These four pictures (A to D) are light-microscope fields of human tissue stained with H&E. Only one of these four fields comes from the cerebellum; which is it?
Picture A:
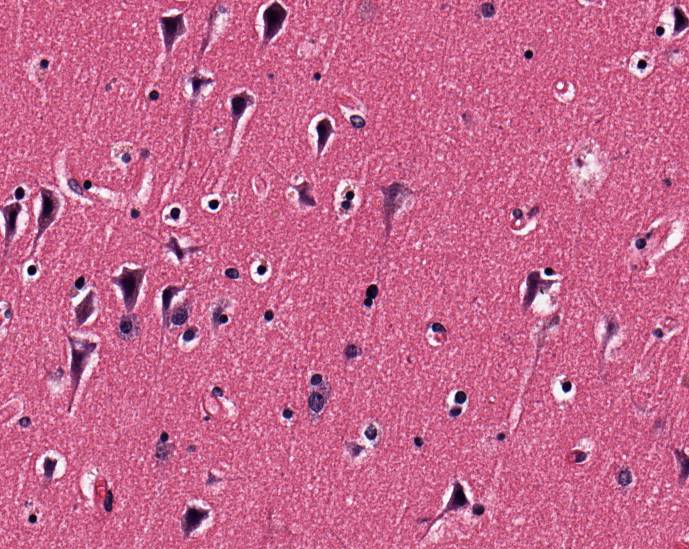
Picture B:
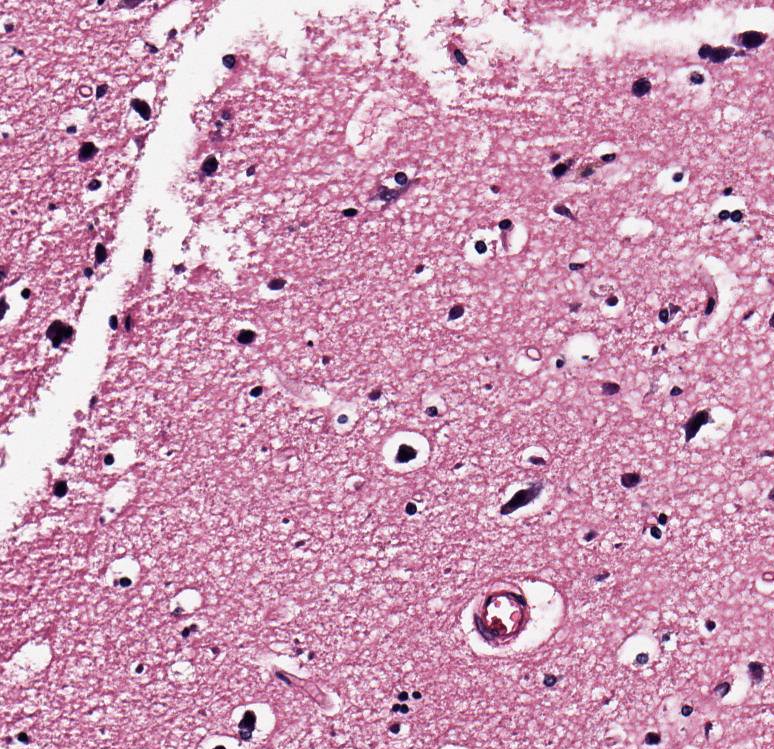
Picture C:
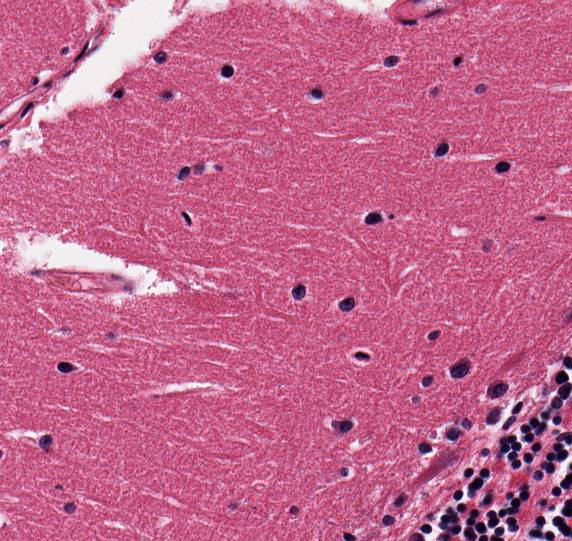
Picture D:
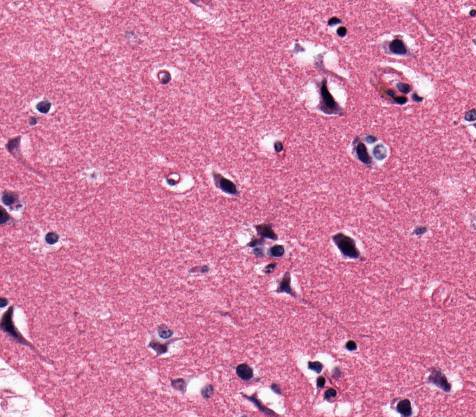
C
